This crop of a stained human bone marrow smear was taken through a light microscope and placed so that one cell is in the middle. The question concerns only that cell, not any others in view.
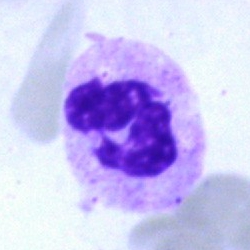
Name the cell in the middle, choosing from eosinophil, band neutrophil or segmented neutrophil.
segmented neutrophil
